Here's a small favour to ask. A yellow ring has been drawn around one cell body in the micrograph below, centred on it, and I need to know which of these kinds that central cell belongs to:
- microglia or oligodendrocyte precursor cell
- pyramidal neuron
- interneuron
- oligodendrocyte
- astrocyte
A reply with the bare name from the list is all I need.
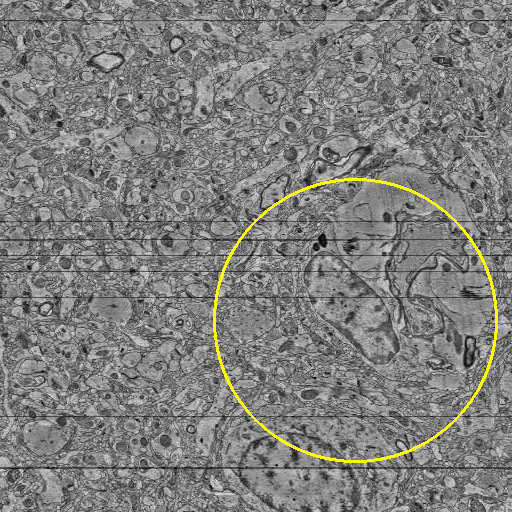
microglia or oligodendrocyte precursor cell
